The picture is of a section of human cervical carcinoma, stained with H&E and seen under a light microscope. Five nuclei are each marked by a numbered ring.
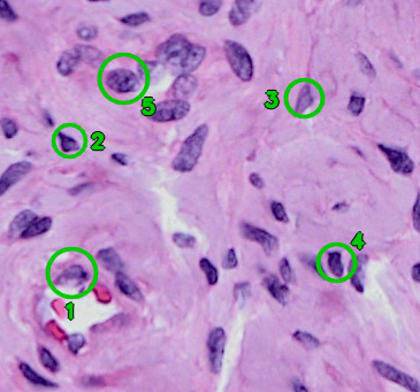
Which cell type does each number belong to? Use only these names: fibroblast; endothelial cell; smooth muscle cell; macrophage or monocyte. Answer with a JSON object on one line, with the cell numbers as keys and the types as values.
{"1": "endothelial cell", "2": "fibroblast", "3": "fibroblast", "4": "fibroblast", "5": "endothelial cell"}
